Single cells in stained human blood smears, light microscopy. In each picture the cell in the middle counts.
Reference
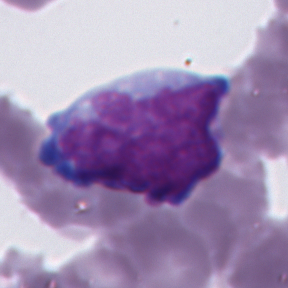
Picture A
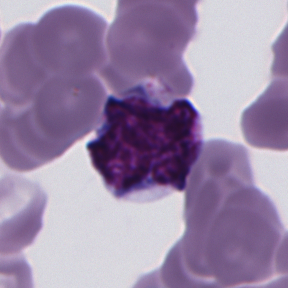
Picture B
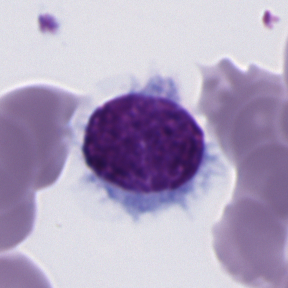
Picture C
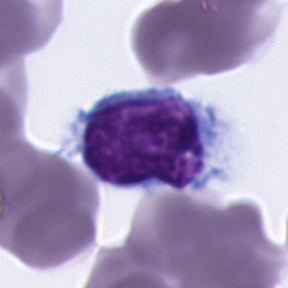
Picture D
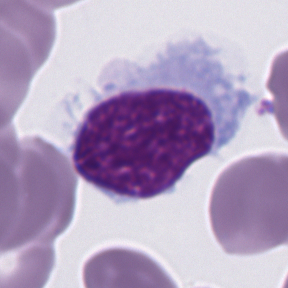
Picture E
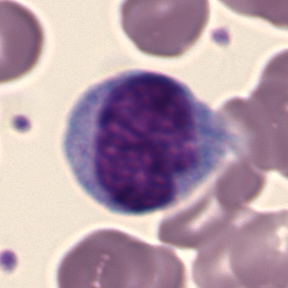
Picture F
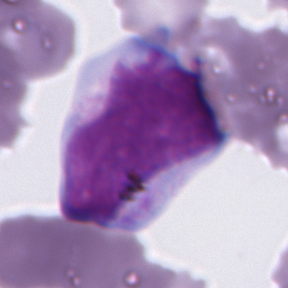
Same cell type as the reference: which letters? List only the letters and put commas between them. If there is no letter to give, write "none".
A, F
